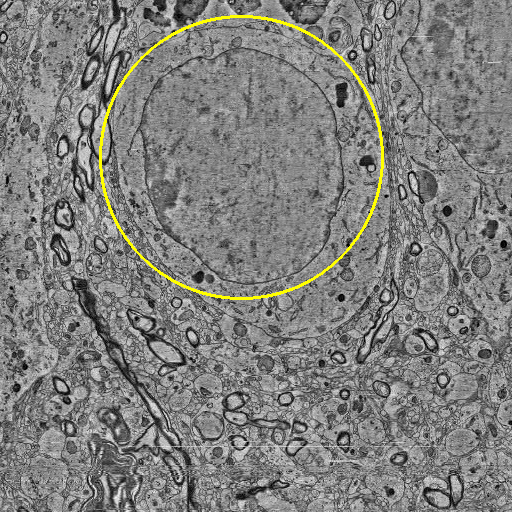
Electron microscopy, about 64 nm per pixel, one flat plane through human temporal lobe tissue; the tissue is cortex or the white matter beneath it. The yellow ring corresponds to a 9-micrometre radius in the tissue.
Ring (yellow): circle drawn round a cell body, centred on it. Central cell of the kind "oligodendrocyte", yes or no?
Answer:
no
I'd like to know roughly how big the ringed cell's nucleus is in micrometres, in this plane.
About 16 by 13 micrometers for the nucleus, in this plane.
